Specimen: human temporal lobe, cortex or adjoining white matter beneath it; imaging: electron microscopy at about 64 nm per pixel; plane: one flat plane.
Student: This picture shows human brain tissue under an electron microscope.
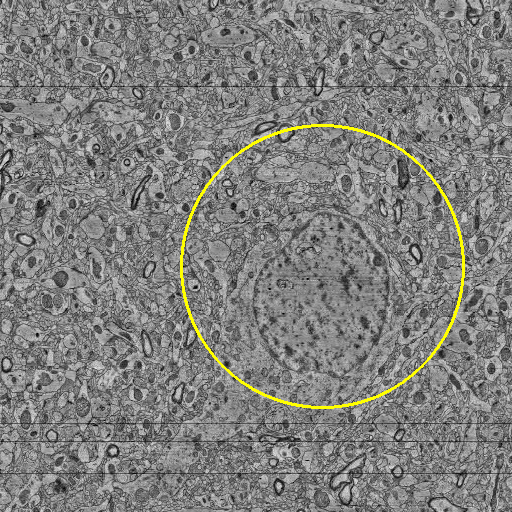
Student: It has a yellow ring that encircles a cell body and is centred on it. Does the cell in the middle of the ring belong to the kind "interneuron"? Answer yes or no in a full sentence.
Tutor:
Yes, the cell in the middle of the ring in this picture is of that kind.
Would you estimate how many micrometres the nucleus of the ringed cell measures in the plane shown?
In this plane the nucleus is about 11 micrometres by 8.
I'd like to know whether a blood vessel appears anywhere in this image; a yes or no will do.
No.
